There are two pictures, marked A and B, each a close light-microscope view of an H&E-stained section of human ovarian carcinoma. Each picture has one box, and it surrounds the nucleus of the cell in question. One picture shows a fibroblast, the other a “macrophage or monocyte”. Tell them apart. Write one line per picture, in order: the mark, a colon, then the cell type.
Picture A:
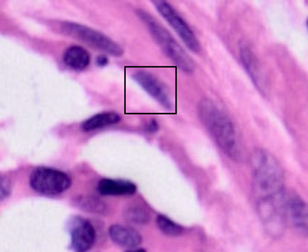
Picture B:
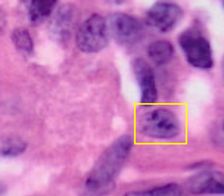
A: fibroblast
B: macrophage or monocyte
